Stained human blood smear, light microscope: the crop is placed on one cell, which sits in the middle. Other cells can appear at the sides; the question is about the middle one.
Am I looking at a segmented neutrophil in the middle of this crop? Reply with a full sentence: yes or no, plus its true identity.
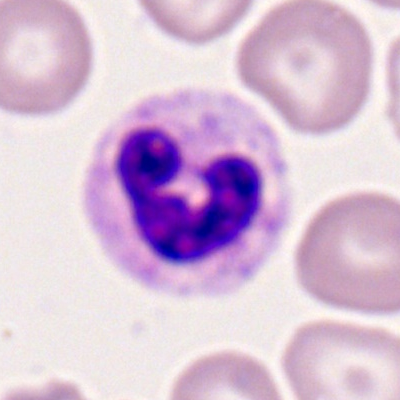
Yes, the middle cell of the field is a segmented neutrophil.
